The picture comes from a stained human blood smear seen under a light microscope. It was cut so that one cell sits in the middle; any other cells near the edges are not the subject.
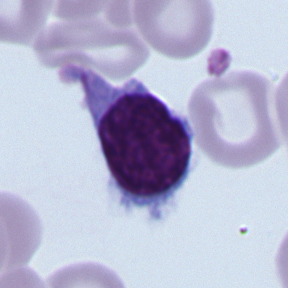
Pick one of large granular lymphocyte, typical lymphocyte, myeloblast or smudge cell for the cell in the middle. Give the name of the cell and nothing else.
typical lymphocyte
